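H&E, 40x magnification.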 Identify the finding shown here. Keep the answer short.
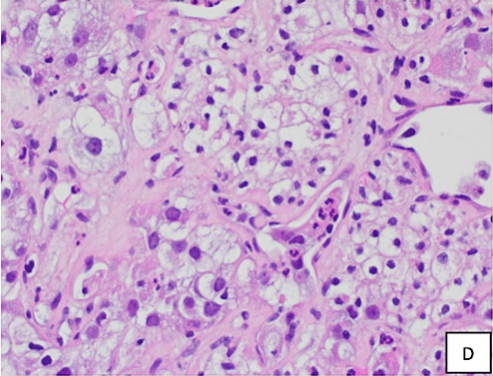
Clear cell renal cell carcinoma.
